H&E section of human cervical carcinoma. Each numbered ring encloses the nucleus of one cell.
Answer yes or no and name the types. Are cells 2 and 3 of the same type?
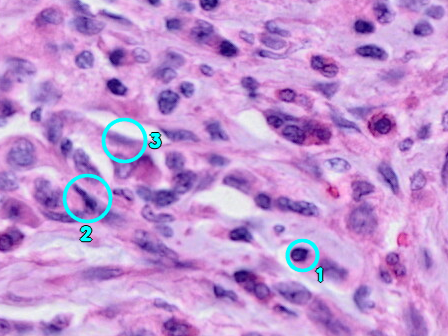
No, the cell numbered 2 is a lymphocyte and the cell numbered 3 is an endothelial cell.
